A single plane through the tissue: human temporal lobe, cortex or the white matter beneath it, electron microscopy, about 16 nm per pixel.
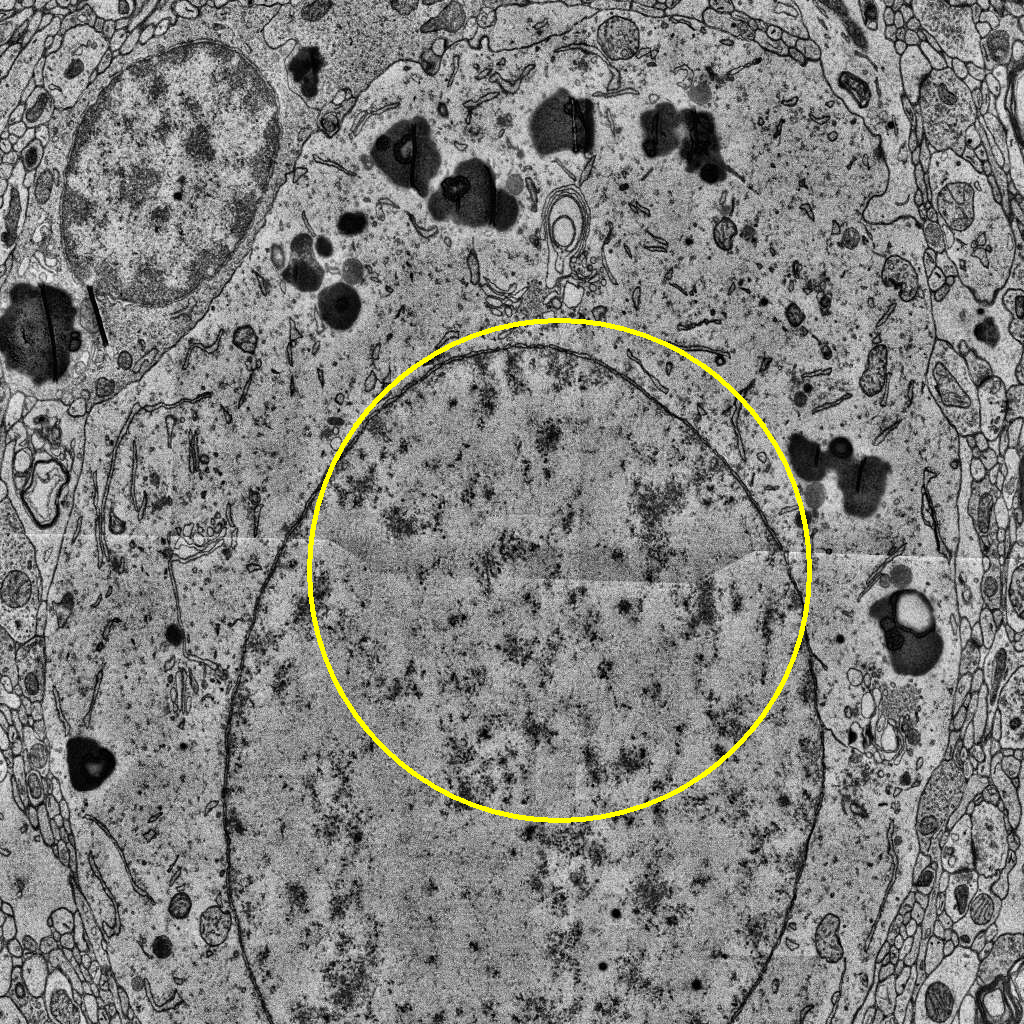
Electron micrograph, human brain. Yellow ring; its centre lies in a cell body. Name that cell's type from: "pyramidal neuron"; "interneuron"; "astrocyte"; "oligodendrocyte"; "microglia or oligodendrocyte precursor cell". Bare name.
pyramidal neuron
